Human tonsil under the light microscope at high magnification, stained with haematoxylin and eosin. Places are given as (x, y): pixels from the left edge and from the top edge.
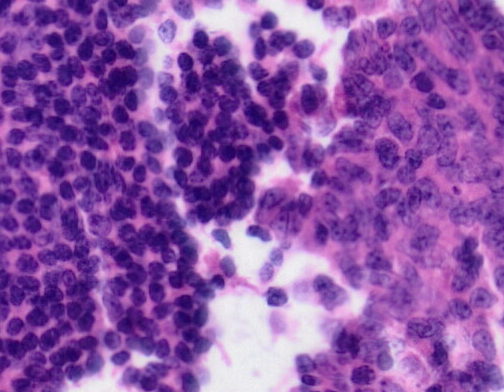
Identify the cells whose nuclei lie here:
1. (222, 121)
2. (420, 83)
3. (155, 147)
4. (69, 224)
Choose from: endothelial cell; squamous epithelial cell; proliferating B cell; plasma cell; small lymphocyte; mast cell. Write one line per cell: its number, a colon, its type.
1: small lymphocyte
2: proliferating B cell
3: small lymphocyte
4: small lymphocyte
